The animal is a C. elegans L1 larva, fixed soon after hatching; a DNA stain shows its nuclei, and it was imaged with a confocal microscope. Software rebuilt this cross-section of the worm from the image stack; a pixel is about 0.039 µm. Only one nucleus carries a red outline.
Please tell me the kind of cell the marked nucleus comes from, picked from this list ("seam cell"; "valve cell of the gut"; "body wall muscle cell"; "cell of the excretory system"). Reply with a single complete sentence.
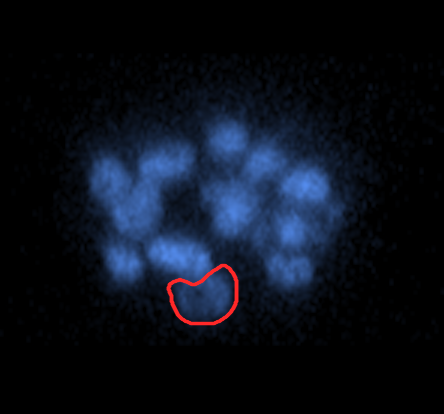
This is the nucleus of a seam cell.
